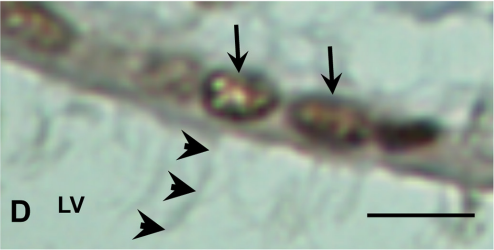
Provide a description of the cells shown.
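Single layer of flattened ependymal cells lining the lateral ventricle, with elongated oval nuclei lying parallel to the surface and stained brown. Faint fine hair-like cilia-like structures project from the apical surface into the ventricular lumen.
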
